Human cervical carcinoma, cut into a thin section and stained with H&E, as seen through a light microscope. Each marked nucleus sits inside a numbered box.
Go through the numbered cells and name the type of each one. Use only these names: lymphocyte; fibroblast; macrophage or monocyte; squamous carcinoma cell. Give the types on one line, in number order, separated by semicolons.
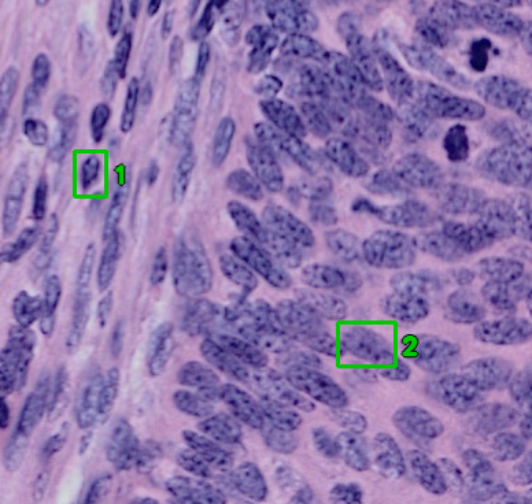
lymphocyte; squamous carcinoma cell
